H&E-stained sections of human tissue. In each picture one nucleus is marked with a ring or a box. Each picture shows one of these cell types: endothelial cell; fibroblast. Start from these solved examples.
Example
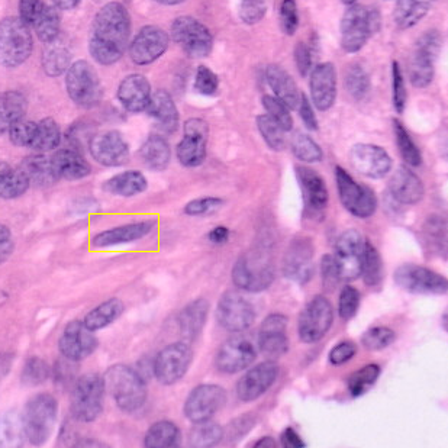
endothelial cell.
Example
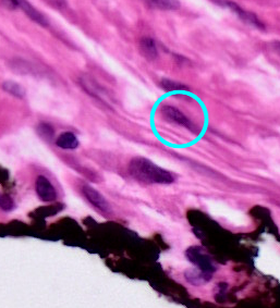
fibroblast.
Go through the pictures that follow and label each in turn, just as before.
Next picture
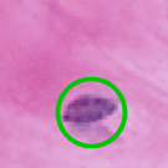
fibroblast.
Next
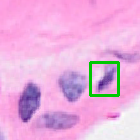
endothelial cell.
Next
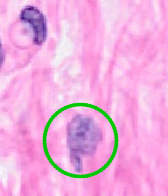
fibroblast.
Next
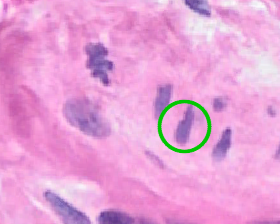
endothelial cell.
